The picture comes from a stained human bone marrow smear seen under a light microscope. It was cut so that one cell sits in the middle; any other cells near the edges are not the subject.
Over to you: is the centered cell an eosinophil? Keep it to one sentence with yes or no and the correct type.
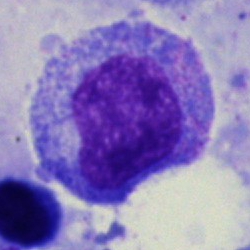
No, the cell in the middle of the crop counts as a promyelocyte and not as an eosinophil.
